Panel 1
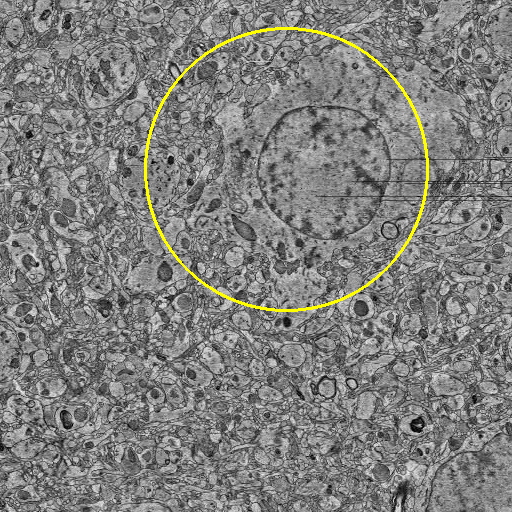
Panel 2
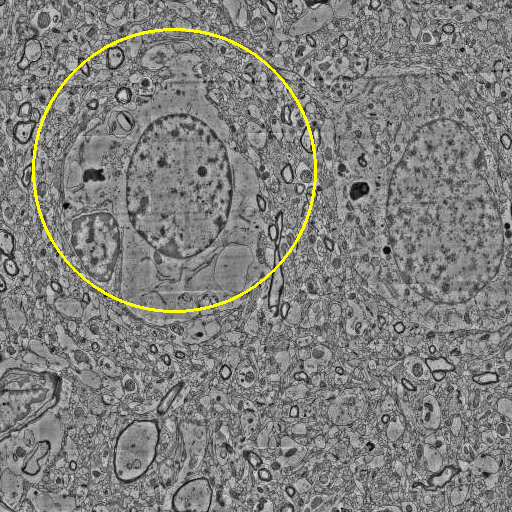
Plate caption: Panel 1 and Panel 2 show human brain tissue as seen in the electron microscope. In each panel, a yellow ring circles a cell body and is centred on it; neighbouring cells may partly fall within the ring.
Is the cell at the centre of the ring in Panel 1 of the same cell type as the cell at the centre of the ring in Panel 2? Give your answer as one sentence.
Yes, the two cells are of the same type.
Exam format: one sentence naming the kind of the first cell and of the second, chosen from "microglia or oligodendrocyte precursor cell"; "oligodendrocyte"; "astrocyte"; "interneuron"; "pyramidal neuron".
In each of the two pictures, the ringed cell is an astrocyte.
